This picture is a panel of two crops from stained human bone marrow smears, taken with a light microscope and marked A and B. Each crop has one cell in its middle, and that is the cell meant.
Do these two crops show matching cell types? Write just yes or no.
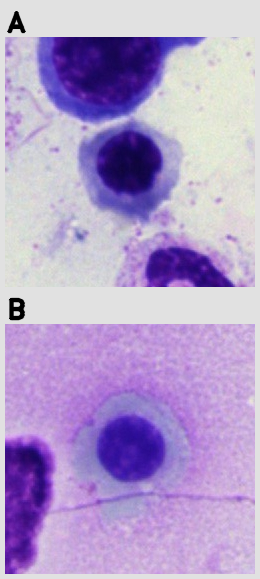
yes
